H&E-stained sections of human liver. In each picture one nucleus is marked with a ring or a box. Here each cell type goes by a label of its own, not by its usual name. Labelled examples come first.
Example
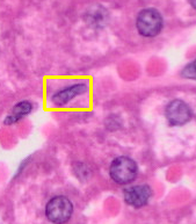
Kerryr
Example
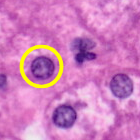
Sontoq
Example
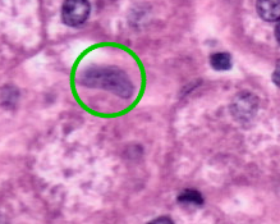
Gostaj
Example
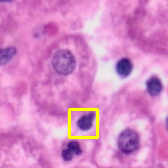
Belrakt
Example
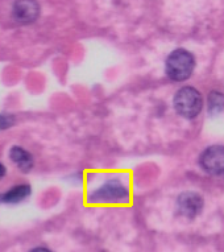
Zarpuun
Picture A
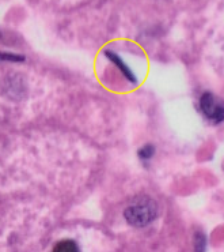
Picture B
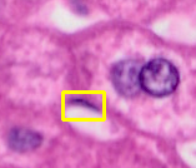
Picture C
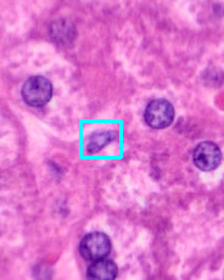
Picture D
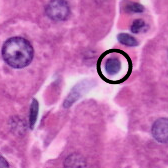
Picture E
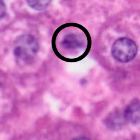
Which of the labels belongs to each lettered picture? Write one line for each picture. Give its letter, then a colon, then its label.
A: Zarpuun
B: Zarpuun
C: Gostaj
D: Belrakt
E: Zarpuun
